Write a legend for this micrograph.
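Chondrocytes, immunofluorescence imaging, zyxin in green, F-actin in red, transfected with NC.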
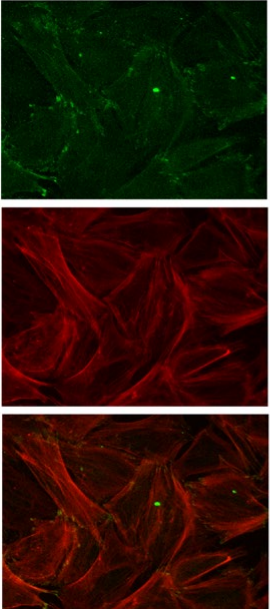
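The cells are large and elongated to broadly spindle-shaped, lying close together and overlapping in different directions. In red, long straight filament bundles run along the length of each cell, crossing the cytoplasm from end to end and outlining the cell edges. The green is faint and diffuse, with scattered small bright dots and a few brighter spots. In the merged image these green dots sit on or beside the red filament bundles.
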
